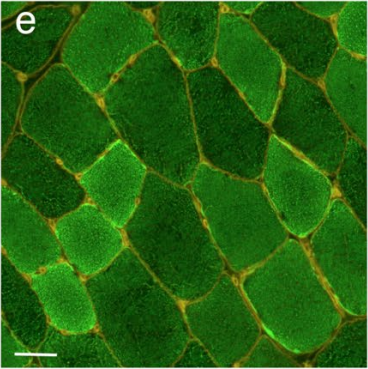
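Cross-section of muscle fibers, seen as large polygonal profiles fitted closely against one another with only thin partitions of connective tissue between them. The green fluorescence fills the fibers with a fine granular texture and varies from fiber to fiber, so brighter and dimmer fibers lie intermingled in a checkerboard pattern.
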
